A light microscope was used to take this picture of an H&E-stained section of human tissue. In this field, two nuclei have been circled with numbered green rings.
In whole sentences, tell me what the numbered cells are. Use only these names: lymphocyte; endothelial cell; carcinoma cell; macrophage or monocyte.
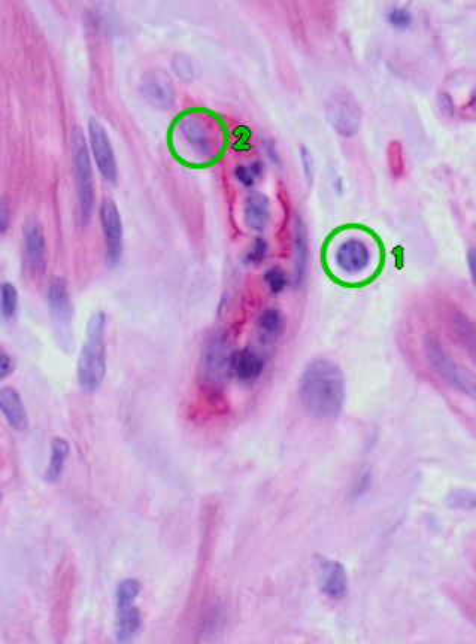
Cell 1 is a lymphocyte. Cell 2 is an endothelial cell.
